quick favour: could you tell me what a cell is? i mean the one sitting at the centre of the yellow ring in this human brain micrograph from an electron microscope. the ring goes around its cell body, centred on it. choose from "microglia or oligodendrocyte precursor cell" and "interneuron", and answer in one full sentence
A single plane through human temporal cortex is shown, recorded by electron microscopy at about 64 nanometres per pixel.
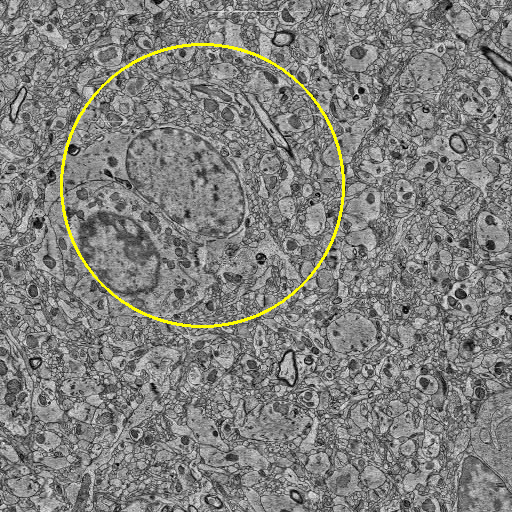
That's a microglial cell or oligodendrocyte precursor cell, the cell sitting at the centre of the yellow ring.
